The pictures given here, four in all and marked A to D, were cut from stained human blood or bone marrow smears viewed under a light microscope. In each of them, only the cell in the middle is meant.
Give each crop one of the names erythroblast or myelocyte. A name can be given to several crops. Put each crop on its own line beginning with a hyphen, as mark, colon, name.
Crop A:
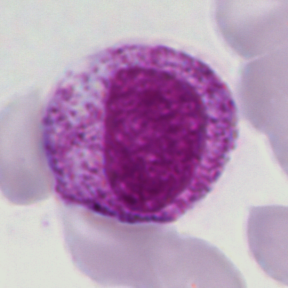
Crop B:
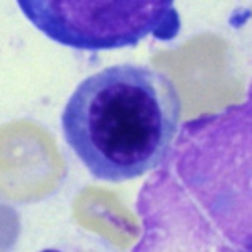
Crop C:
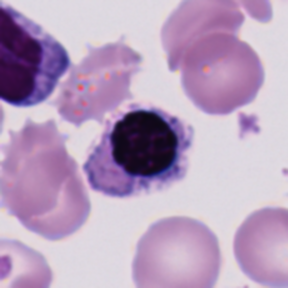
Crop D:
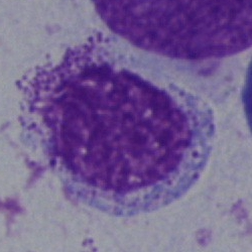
- A: myelocyte
- B: erythroblast
- C: erythroblast
- D: myelocyte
